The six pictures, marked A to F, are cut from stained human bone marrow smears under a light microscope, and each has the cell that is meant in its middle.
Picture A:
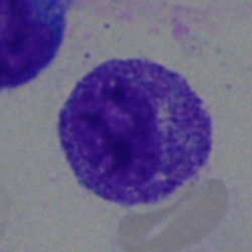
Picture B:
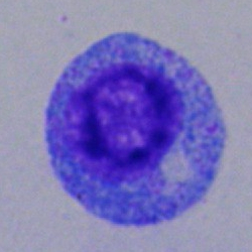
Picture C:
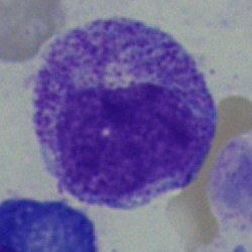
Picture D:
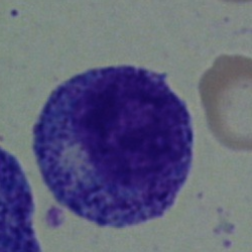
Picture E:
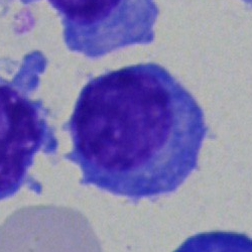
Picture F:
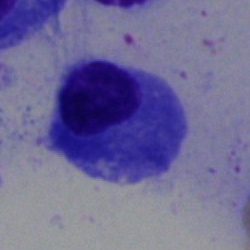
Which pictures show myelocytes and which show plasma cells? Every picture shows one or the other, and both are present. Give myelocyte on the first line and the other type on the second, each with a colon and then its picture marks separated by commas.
myelocyte: A, B, C, D
plasma cell: E, F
